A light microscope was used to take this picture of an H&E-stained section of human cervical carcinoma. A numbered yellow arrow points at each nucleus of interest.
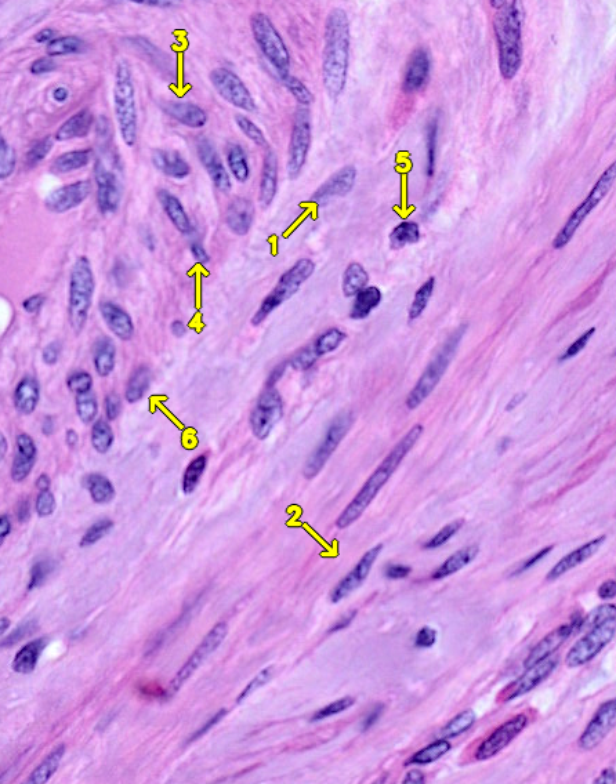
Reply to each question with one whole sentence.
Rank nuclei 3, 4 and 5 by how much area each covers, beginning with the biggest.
Largest first, the order by area is 3, 5, 4.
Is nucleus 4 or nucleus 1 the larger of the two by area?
Nucleus 1 is larger, with an area about 4 times that of nucleus 4.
